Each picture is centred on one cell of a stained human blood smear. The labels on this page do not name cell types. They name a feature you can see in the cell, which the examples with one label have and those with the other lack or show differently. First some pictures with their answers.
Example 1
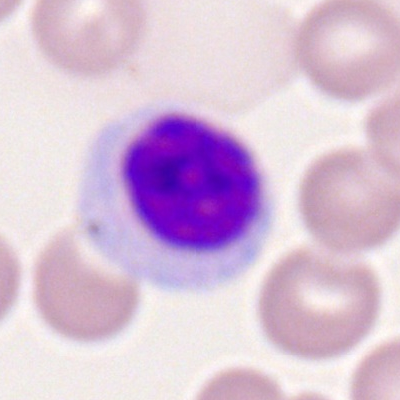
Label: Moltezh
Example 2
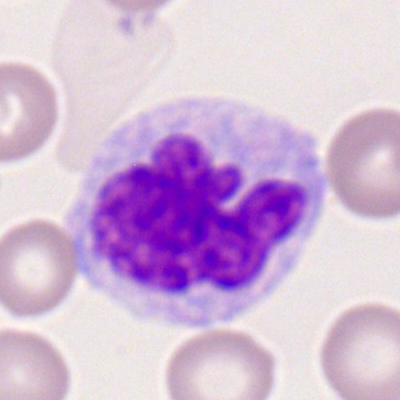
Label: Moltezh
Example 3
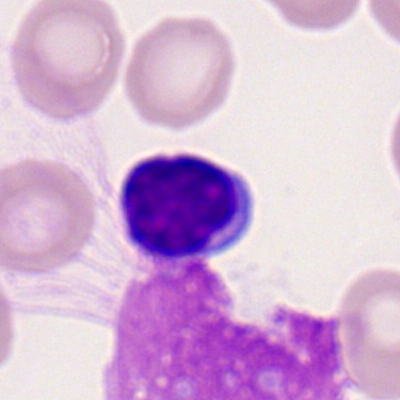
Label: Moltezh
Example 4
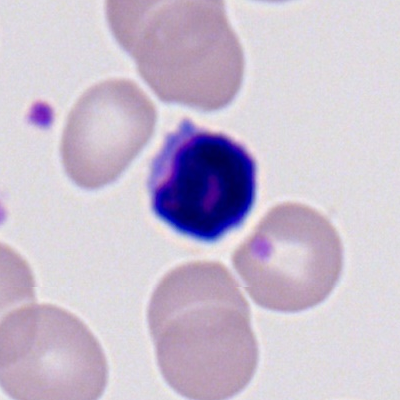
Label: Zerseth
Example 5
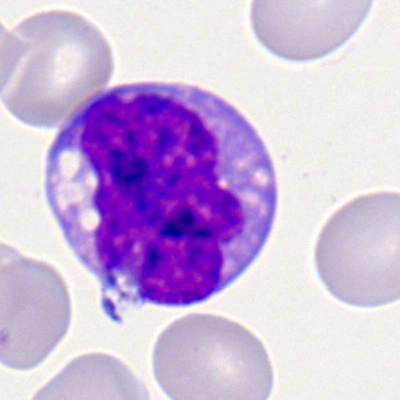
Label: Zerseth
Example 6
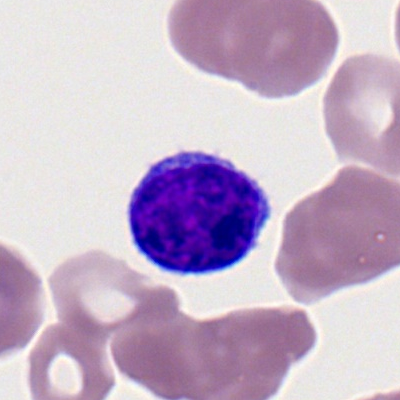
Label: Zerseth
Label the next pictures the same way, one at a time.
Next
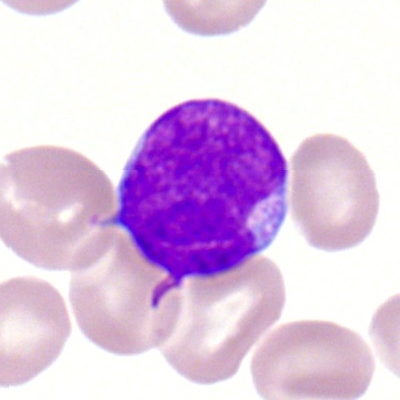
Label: Zerseth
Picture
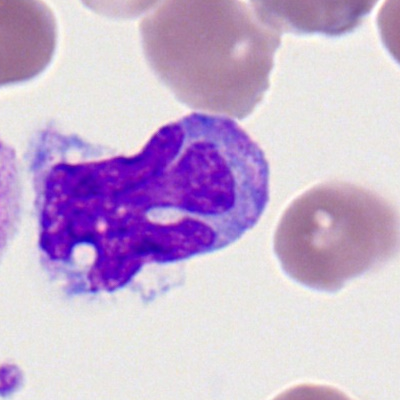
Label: Zerseth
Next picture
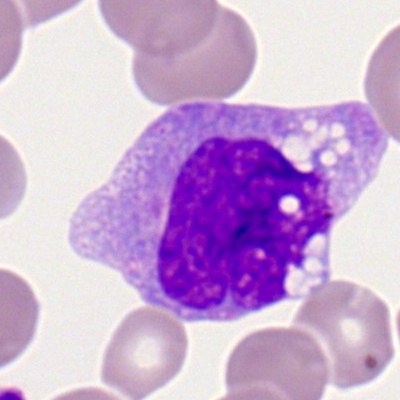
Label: Zerseth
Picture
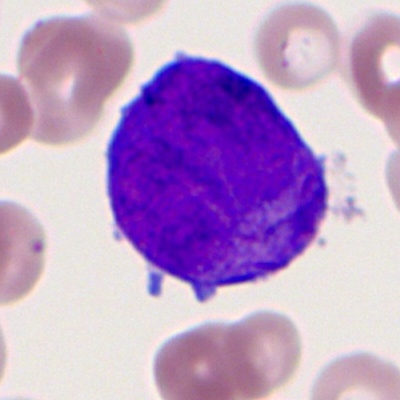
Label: Zerseth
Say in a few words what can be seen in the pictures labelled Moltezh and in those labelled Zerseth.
Moltezh: smooth outline; Zerseth: ragged outline or projections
